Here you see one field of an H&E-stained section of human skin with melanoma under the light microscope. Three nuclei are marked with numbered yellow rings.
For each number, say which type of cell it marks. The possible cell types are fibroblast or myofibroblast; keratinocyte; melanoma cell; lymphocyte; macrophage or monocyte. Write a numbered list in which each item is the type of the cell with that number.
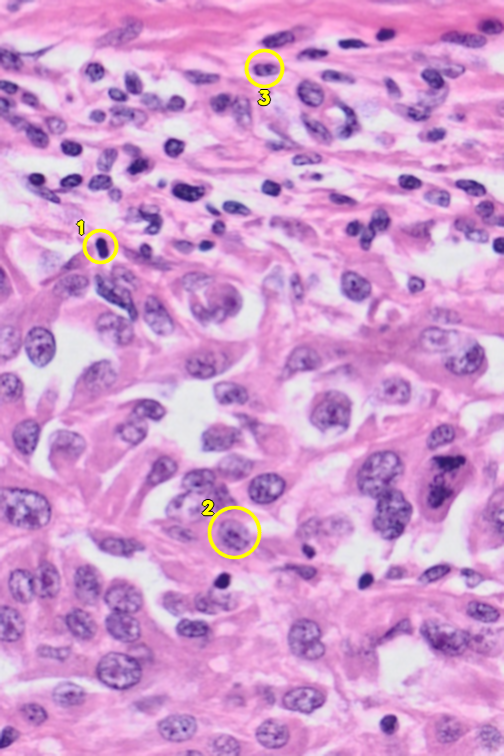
1. lymphocyte
2. melanoma cell
3. lymphocyte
